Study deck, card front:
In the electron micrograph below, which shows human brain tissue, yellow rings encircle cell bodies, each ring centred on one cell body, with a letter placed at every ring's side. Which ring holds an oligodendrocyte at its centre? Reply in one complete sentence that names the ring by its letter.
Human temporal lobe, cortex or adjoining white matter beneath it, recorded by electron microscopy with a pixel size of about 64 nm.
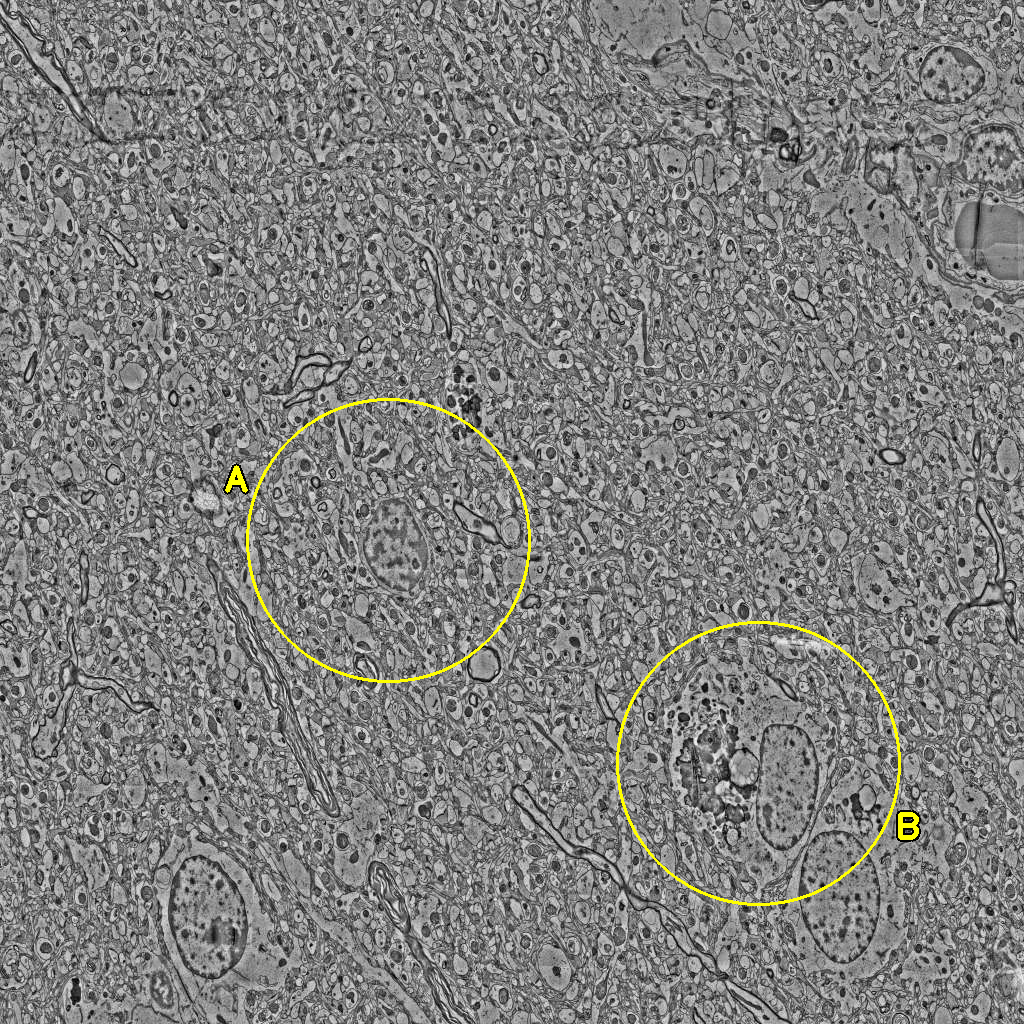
The cell asked for sits at the centre of ring A in the picture.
